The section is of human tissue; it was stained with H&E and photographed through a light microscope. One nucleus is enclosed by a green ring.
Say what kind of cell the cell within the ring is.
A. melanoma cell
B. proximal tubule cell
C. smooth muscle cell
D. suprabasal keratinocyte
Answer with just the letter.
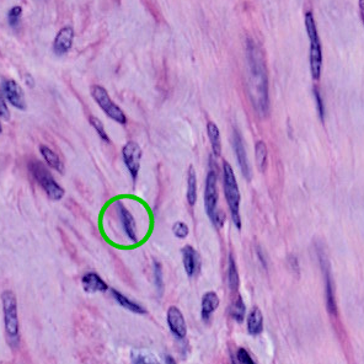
C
